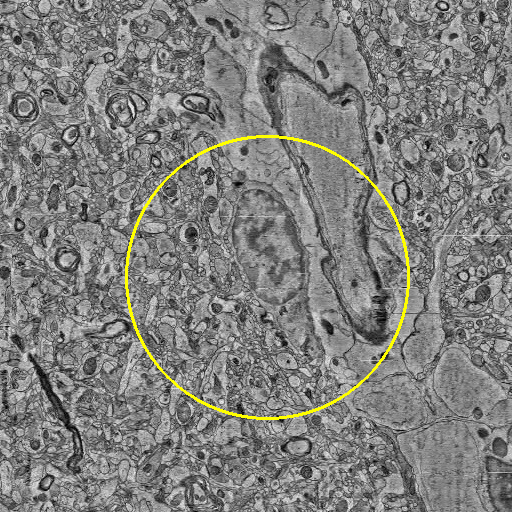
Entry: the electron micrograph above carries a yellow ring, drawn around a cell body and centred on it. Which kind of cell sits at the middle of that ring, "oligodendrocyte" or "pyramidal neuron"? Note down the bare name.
oligodendrocyte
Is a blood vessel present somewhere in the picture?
Yes, there is one.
